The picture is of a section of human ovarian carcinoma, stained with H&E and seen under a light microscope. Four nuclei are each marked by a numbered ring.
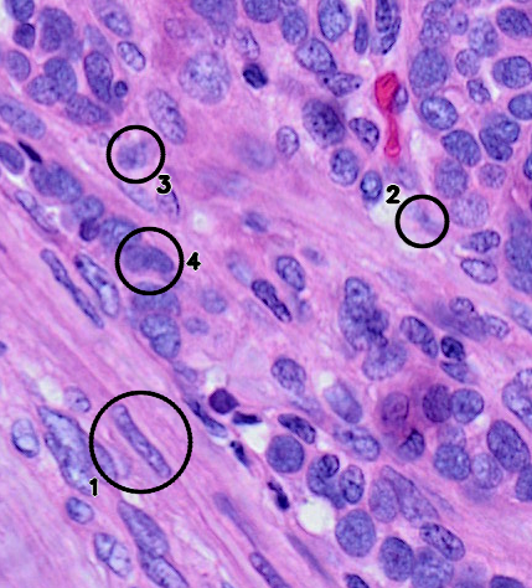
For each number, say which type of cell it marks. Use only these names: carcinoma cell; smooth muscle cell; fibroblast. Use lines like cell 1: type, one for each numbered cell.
cell 1: fibroblast
cell 2: fibroblast
cell 3: fibroblast
cell 4: carcinoma cell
